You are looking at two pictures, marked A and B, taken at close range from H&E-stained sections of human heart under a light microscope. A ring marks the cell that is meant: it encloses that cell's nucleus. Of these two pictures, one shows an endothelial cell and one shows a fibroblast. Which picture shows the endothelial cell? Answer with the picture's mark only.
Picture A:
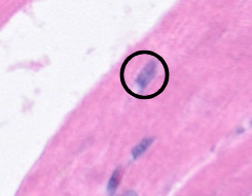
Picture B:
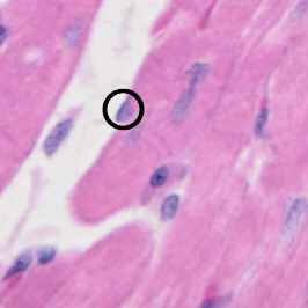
A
